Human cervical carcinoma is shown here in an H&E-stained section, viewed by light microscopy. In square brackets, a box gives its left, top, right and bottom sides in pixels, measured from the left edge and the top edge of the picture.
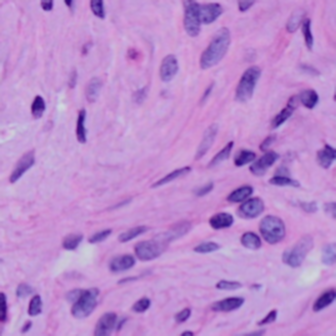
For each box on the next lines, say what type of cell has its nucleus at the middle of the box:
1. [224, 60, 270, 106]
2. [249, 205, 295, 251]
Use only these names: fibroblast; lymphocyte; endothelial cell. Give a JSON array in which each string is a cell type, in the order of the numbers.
["fibroblast", "endothelial cell"]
